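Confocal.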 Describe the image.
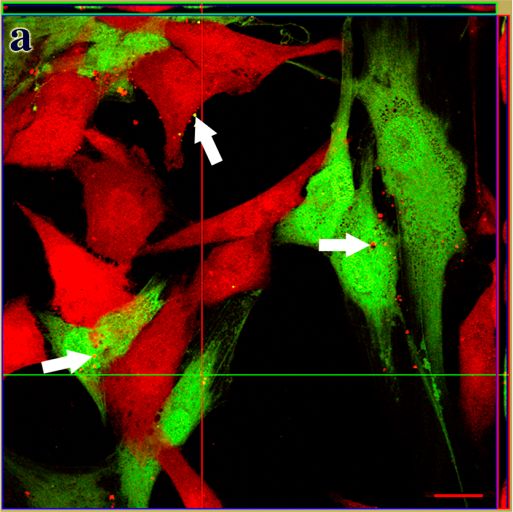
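The green cells have long tapering processes and a granular cytoplasm around a large oval nucleus region, and they touch or overlap the neighbouring red cells. Small bright red vesicular structures are scattered within the green cytoplasm, and tiny green dots can be seen near the red cells. The red cells spread flat with broad cytoplasm and leave dark gaps of empty substrate between groups of cells.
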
